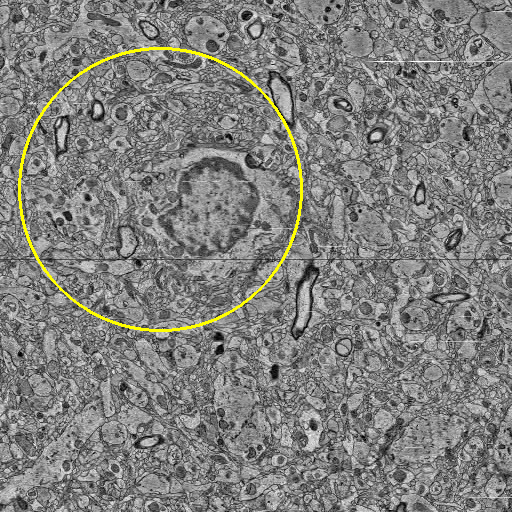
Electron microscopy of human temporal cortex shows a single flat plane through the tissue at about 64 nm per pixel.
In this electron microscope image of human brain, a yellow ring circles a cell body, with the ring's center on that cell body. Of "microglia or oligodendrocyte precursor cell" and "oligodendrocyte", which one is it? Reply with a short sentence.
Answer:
It is a microglial cell or oligodendrocyte precursor cell at the center of the ring.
